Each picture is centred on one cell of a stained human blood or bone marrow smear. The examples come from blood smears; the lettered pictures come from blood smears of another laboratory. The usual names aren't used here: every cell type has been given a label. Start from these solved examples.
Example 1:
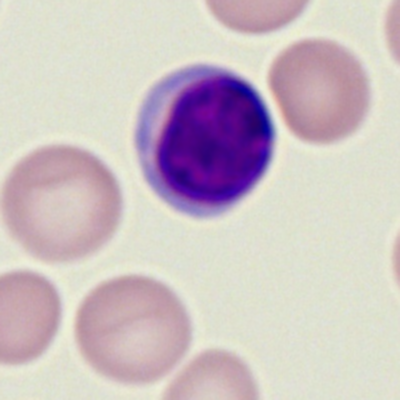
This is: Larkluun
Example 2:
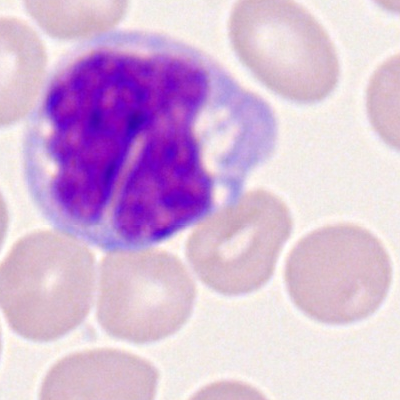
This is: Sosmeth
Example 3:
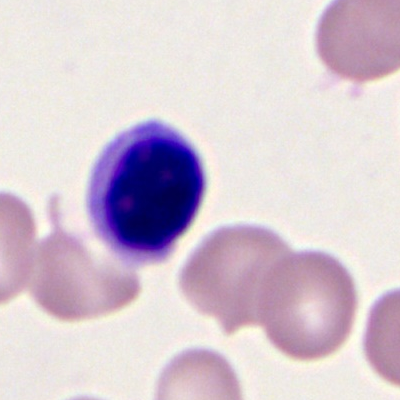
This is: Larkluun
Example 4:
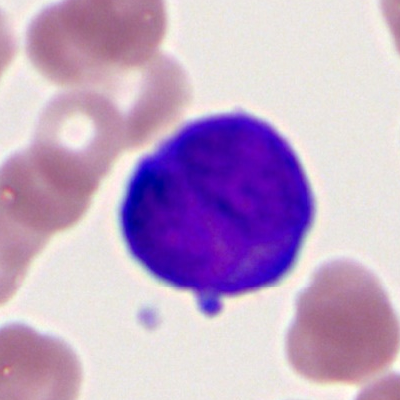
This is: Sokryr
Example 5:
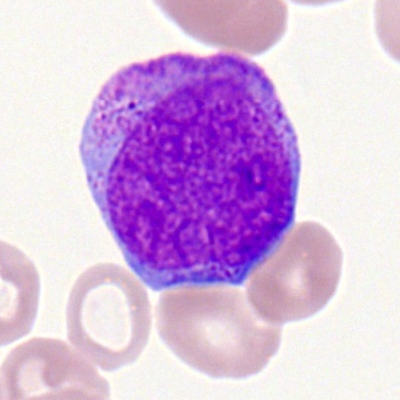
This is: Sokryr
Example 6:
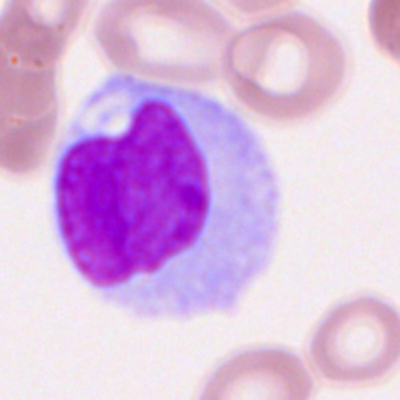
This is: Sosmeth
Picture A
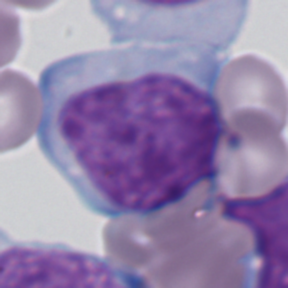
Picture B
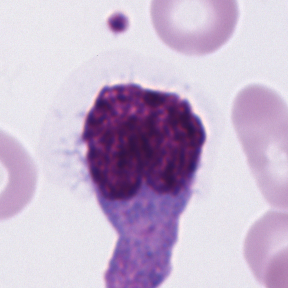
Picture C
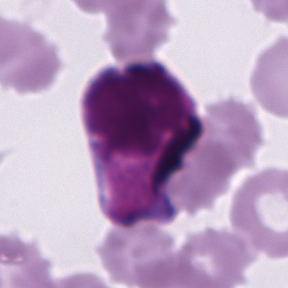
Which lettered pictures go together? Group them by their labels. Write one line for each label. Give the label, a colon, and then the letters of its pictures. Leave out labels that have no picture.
Sosmeth: B
Sokryr: A, C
